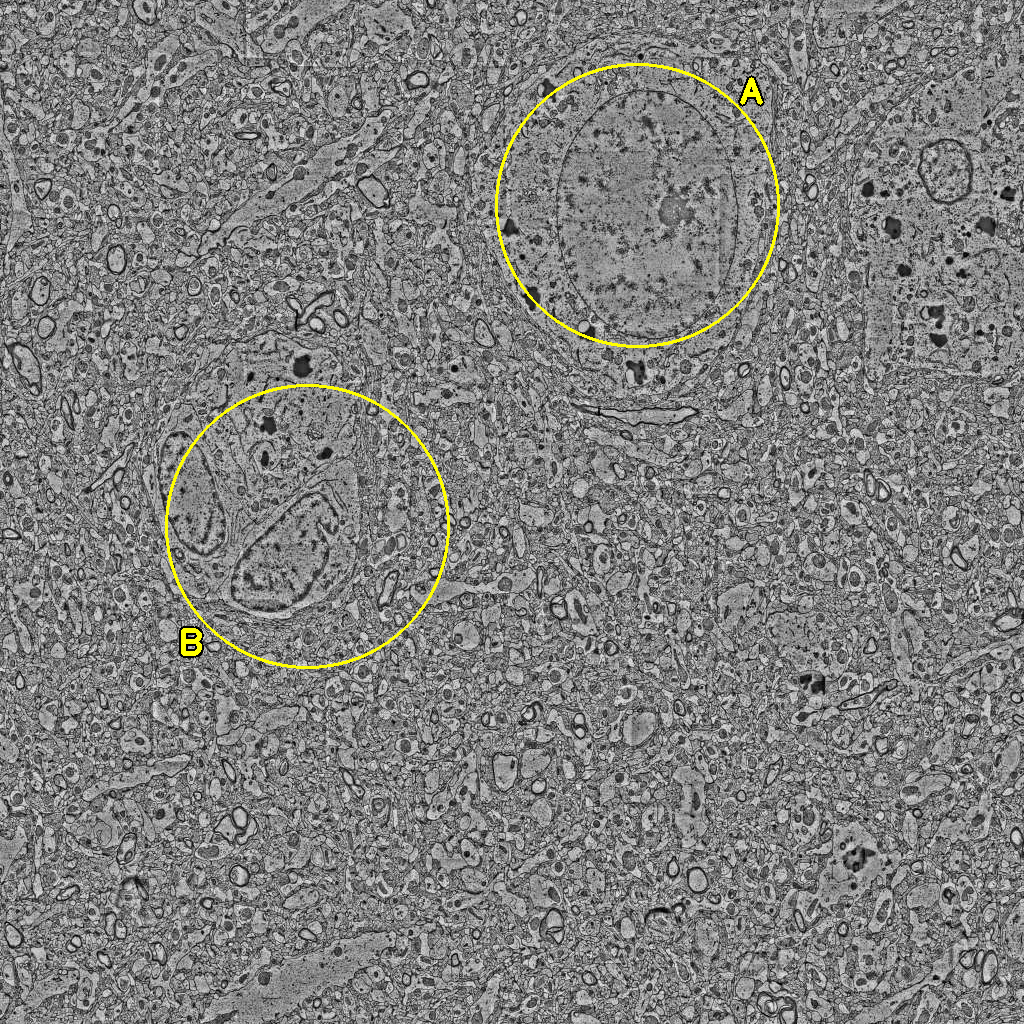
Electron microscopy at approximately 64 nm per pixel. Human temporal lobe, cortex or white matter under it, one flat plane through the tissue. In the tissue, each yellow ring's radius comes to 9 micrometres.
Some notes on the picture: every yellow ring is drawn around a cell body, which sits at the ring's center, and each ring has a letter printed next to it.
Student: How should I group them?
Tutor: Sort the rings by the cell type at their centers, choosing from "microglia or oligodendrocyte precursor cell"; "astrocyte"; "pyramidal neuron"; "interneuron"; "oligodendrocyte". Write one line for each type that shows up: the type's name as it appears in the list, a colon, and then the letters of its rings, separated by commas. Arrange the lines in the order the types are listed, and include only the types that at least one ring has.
microglia or oligodendrocyte precursor cell: B
pyramidal neuron: A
